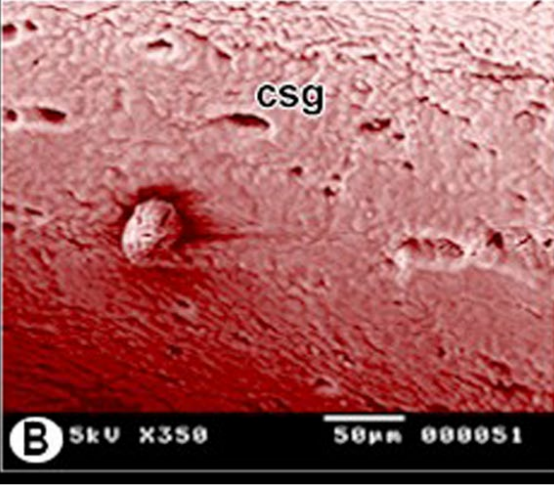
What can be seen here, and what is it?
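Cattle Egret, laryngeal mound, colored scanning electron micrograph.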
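The mucosal surface here is fairly smooth with a finely uneven texture and is pierced by several dark, elongated or oval pits of different sizes. A small rounded particle sits on the surface at the left, and the lower part of the field curves away from view.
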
